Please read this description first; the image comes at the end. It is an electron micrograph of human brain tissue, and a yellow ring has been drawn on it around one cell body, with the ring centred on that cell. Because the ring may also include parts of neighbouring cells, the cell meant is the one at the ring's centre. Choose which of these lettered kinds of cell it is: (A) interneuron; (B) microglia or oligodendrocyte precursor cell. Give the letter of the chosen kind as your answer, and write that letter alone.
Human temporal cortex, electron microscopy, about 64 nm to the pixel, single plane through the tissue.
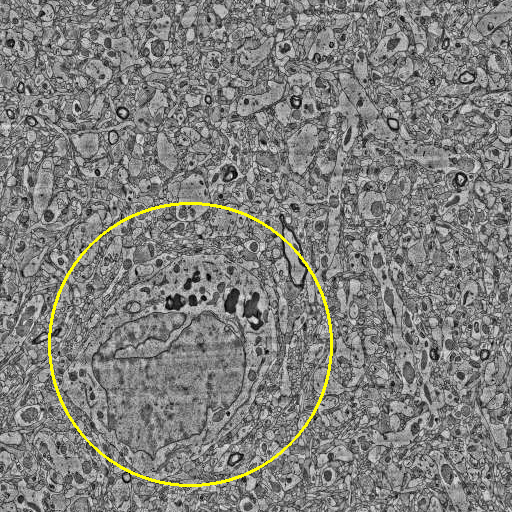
A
